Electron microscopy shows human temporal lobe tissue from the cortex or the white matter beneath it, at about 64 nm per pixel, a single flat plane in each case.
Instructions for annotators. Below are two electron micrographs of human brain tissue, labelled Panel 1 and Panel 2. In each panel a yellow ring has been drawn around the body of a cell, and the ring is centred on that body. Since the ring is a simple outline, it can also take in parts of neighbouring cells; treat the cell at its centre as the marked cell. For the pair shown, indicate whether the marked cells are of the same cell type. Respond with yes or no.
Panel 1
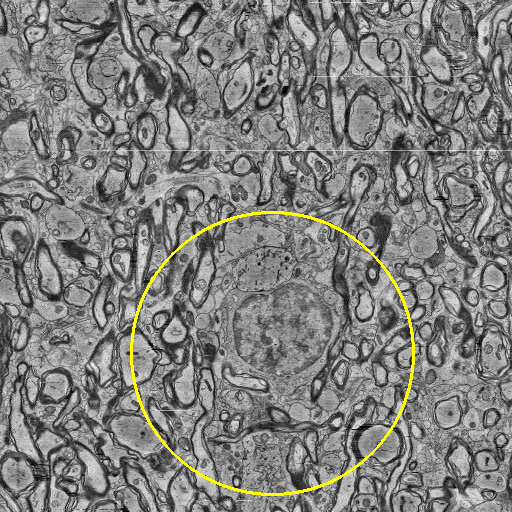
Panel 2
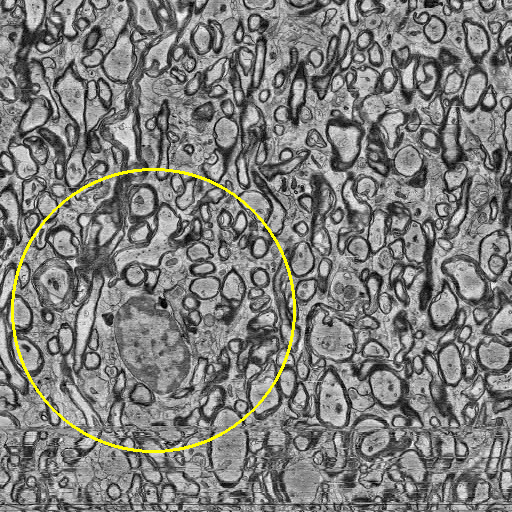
no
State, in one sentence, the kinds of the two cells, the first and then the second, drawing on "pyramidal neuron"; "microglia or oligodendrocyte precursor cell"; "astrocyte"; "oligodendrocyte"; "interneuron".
The ring in the second picture is centred on a microglial cell or oligodendrocyte precursor cell, the ring in the first on an oligodendrocyte.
